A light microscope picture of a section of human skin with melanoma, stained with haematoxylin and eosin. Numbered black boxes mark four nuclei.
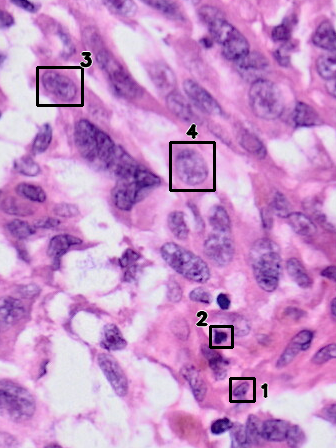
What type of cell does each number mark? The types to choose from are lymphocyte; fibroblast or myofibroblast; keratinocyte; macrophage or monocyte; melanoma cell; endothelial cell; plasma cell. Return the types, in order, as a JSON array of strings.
["macrophage or monocyte", "lymphocyte", "melanoma cell", "melanoma cell"]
